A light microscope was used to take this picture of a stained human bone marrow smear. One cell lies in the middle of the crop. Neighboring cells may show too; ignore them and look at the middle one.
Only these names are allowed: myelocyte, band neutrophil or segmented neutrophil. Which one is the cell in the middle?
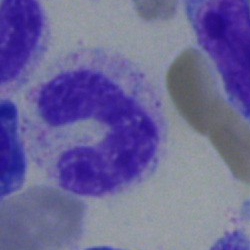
band neutrophil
